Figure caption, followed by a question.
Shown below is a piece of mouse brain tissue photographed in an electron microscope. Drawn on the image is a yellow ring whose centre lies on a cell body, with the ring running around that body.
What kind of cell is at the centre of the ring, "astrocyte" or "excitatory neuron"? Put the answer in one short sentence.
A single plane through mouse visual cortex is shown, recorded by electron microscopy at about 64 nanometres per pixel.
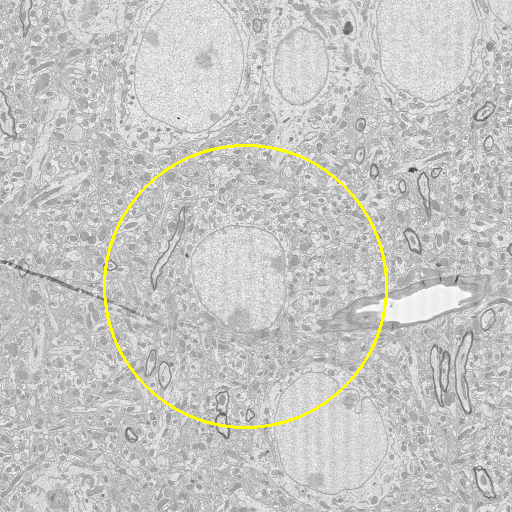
The ring marks the cell body of an astrocyte.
